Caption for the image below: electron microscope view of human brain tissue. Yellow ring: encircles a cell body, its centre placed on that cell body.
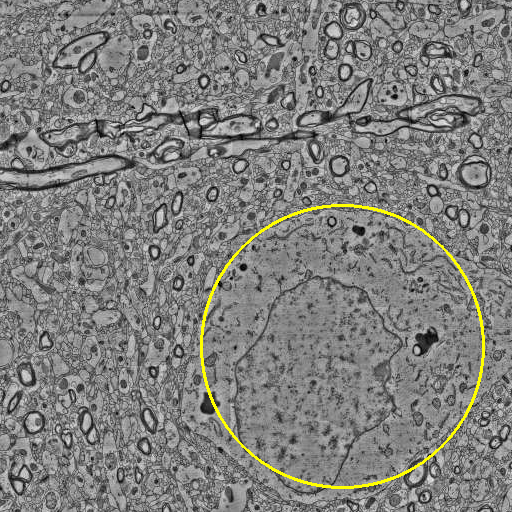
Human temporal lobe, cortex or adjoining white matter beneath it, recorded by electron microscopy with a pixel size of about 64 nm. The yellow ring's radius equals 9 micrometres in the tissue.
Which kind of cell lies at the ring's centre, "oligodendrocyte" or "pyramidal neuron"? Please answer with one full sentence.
The picture shows a pyramidal neuron at the centre of the yellow ring.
